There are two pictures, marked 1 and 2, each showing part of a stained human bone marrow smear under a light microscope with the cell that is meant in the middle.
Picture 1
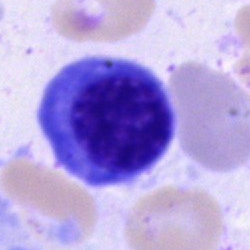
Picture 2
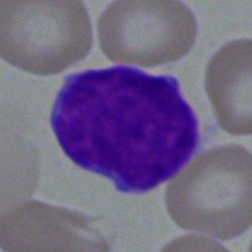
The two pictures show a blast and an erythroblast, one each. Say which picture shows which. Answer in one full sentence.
Picture 1 is of an erythroblast, and picture 2 is of a blast.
